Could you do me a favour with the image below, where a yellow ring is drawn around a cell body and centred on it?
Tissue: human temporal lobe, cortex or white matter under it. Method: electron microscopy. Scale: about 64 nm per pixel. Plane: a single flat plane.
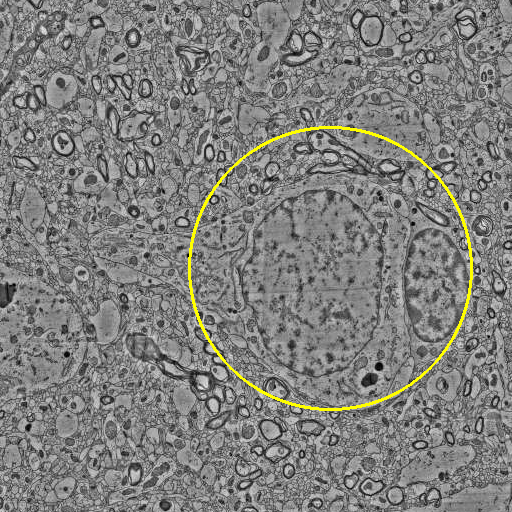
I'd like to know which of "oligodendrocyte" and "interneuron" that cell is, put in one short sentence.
The cell at the ring's centre is an interneuron.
